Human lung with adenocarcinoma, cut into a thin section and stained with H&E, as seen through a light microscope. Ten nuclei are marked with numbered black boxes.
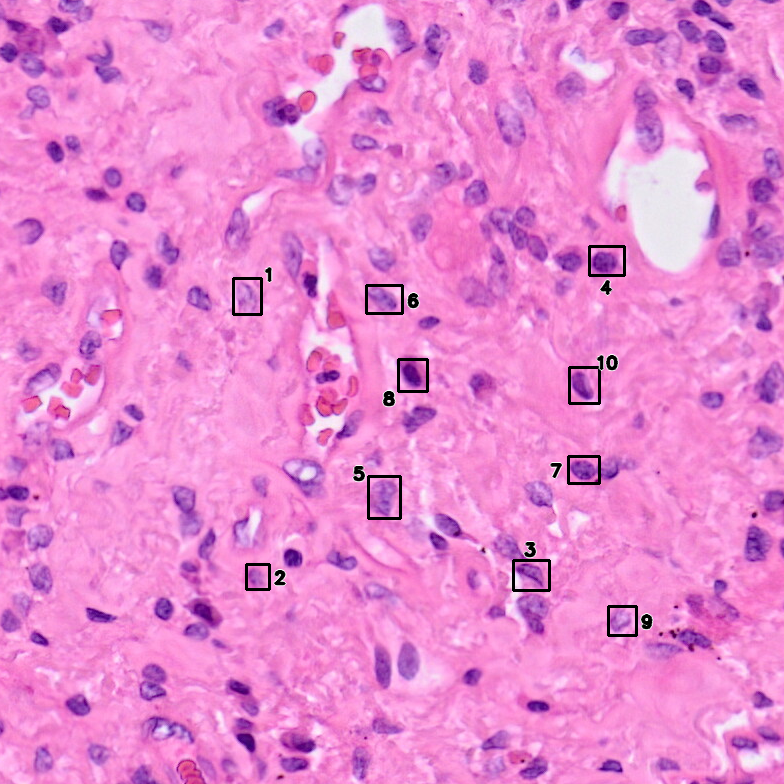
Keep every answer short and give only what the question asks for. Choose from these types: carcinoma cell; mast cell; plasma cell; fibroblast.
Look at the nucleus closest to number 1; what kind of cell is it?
fibroblast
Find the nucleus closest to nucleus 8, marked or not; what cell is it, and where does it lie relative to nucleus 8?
a fibroblast, below nucleus 8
